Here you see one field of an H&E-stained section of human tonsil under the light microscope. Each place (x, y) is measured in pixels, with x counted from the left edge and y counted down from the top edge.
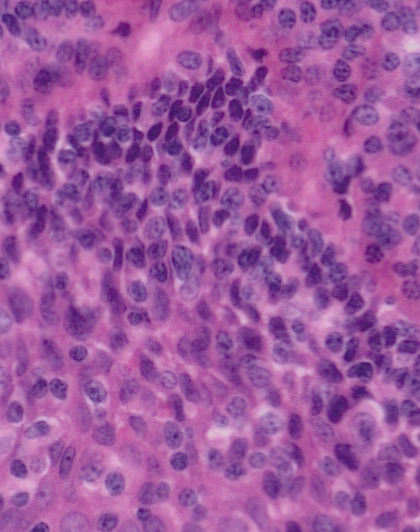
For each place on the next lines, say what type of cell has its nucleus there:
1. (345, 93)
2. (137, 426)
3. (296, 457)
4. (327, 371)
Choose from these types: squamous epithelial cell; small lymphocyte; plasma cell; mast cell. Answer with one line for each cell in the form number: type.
1: plasma cell
2: squamous epithelial cell
3: squamous epithelial cell
4: squamous epithelial cell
